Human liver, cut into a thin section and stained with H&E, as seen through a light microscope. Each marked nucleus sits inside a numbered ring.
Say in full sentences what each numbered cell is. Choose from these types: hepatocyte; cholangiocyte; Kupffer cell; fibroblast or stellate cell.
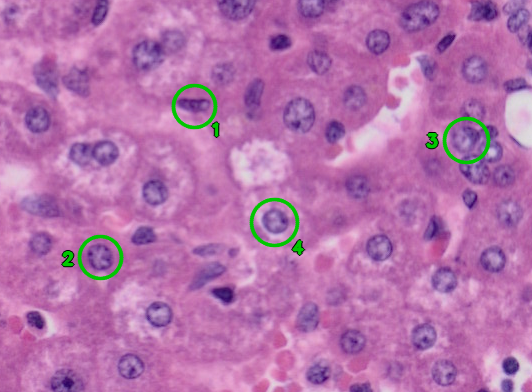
Cell 1 is a fibroblast or stellate cell. Cells 2 and 4 are hepatocytes. Cell 3 is a cholangiocyte.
